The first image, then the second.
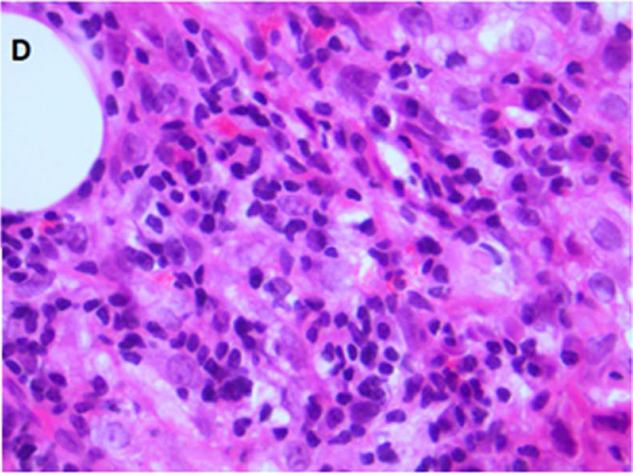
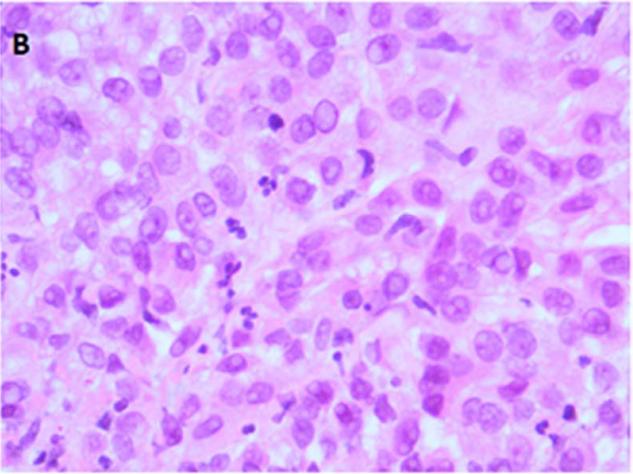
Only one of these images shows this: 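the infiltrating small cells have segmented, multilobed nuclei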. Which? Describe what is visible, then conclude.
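The second image. First image: the small infiltrating cells have single round, dense dark nuclei. Second image: the small infiltrating cells have nuclei split into several lobes.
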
